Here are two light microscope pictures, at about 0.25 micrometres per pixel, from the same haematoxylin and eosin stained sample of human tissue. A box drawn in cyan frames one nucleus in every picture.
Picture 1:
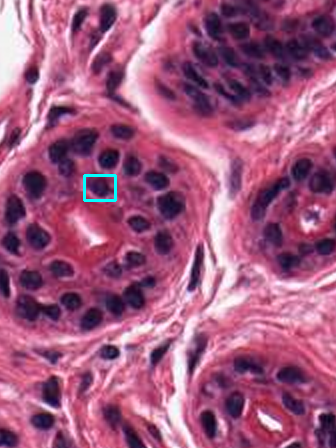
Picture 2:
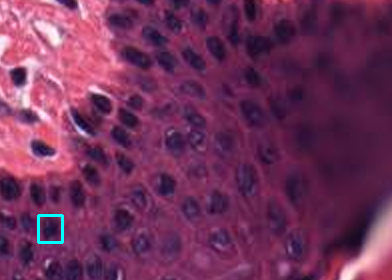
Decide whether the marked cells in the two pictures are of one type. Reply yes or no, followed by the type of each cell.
No, the first is a sweat gland cell and the second a keratinocyte.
